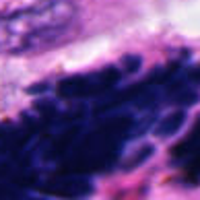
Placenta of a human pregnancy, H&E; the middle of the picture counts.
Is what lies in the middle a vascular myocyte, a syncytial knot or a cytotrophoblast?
It is a syncytial knot.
